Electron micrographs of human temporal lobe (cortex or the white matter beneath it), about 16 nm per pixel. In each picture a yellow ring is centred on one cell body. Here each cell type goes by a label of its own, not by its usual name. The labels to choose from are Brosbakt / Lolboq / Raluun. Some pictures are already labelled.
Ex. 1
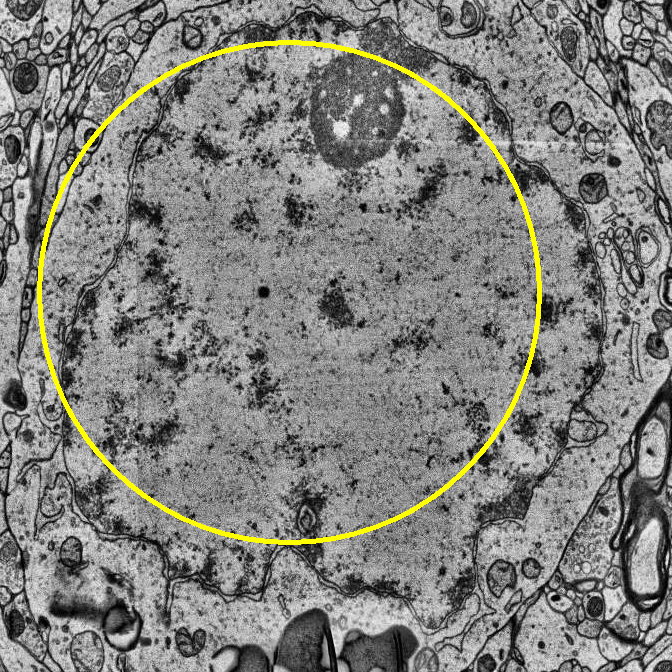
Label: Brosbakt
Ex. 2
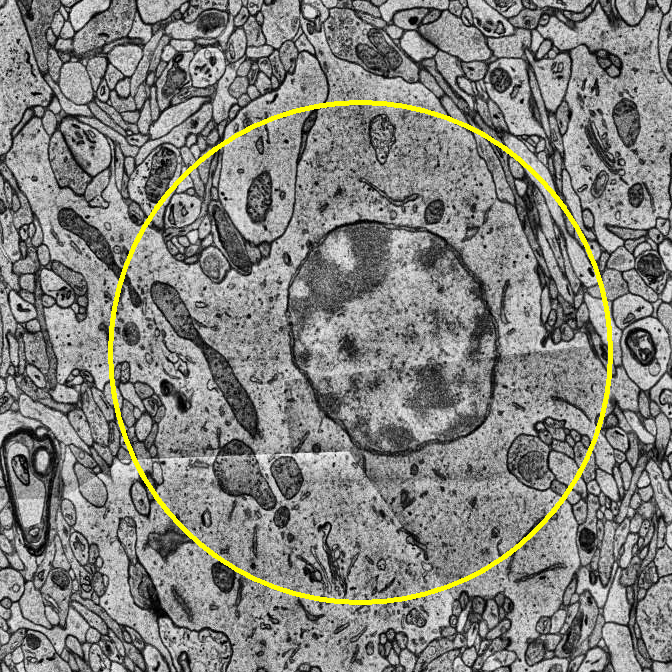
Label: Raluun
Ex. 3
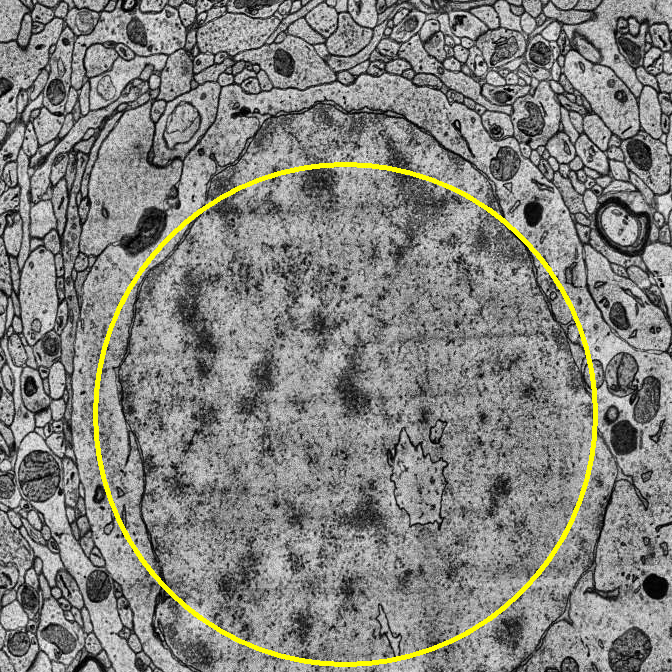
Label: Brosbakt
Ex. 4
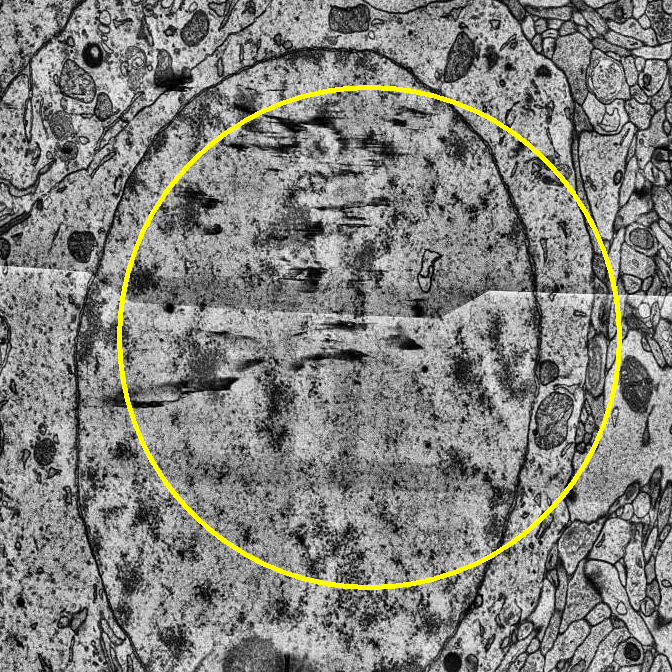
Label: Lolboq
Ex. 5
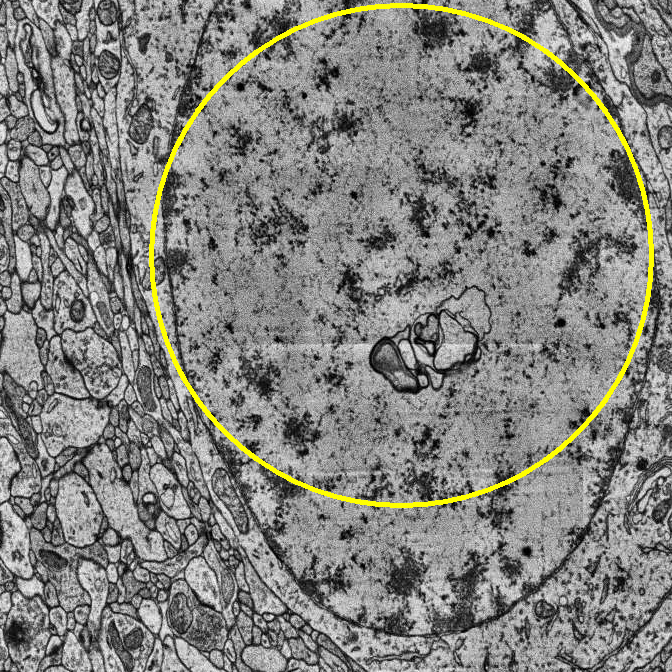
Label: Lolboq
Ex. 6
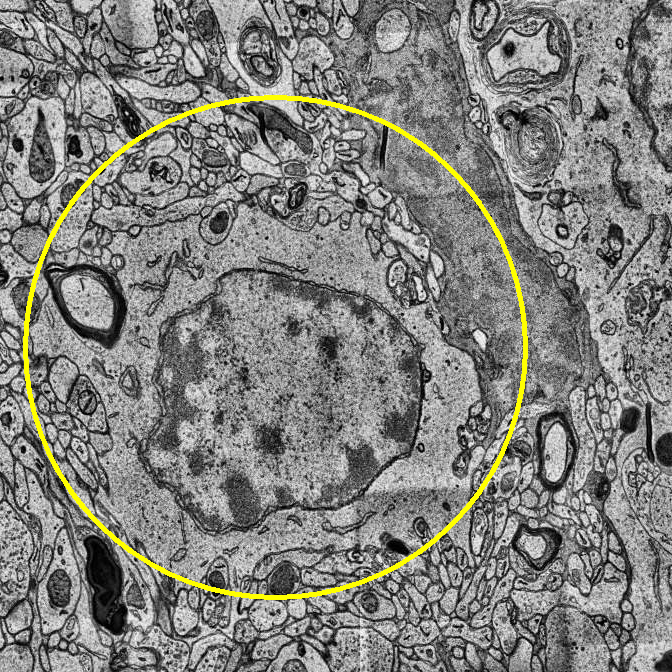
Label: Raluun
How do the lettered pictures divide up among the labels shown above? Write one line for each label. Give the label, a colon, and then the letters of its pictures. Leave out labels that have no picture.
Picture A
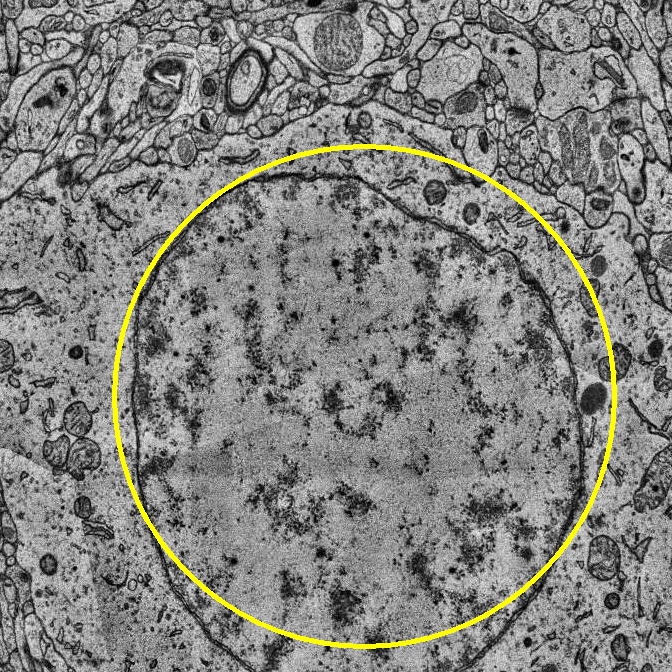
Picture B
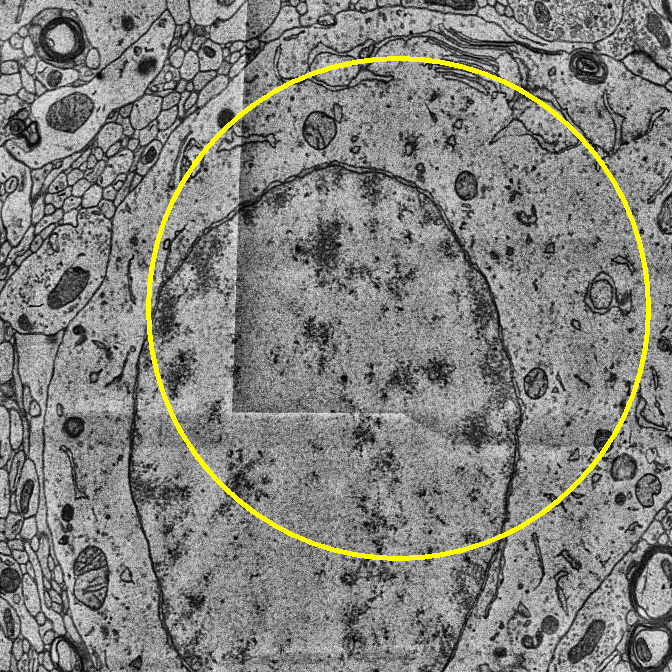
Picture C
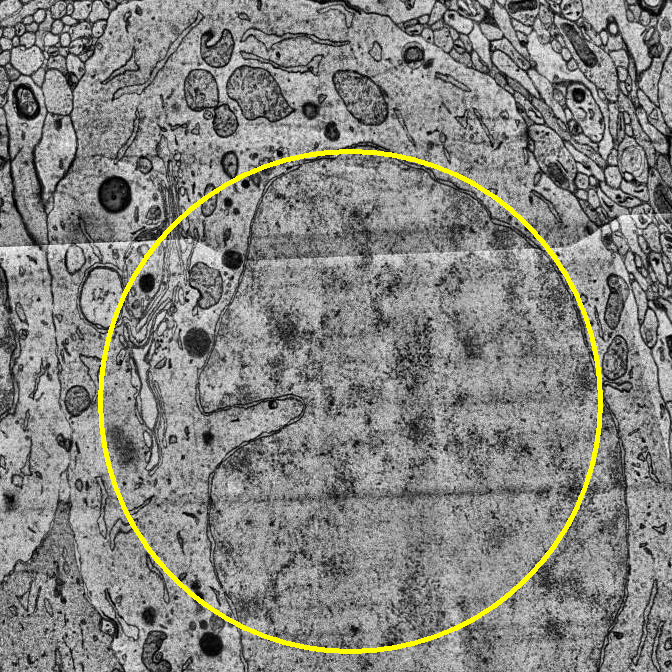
Brosbakt: C
Lolboq: A, B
